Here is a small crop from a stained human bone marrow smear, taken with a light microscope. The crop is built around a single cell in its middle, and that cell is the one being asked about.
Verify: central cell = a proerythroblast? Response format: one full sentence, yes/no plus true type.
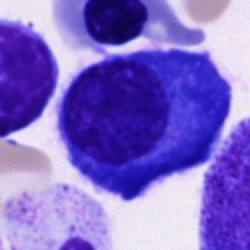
No, the central cell is identified not as a proerythroblast but as a plasma cell.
